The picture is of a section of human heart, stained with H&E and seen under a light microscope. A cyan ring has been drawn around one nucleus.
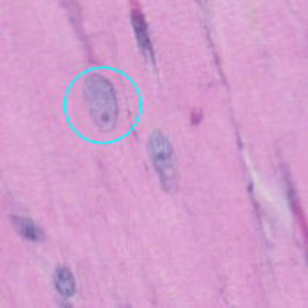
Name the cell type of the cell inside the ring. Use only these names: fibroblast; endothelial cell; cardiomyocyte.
cardiomyocyte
